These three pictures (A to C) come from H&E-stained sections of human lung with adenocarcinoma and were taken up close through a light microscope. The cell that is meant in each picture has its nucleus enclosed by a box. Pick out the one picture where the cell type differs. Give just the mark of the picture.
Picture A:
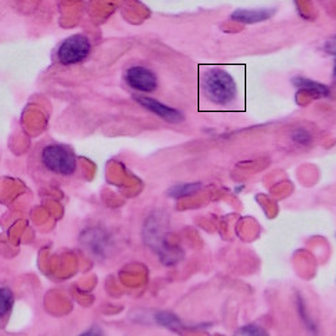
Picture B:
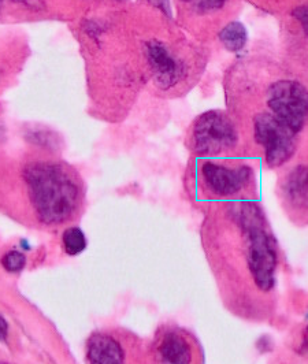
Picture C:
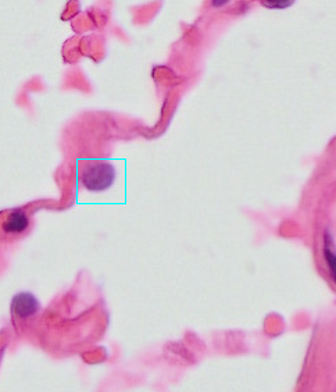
B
